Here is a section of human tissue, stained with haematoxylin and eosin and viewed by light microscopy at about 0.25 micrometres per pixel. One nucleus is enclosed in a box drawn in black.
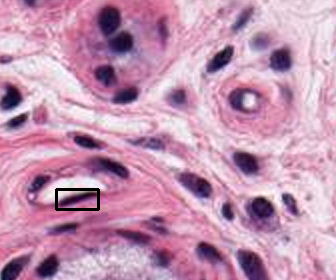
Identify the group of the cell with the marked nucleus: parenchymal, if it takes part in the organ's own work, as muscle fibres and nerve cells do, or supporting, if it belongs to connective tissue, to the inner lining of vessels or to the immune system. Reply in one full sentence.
The marked nucleus sits within a supporting cell.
